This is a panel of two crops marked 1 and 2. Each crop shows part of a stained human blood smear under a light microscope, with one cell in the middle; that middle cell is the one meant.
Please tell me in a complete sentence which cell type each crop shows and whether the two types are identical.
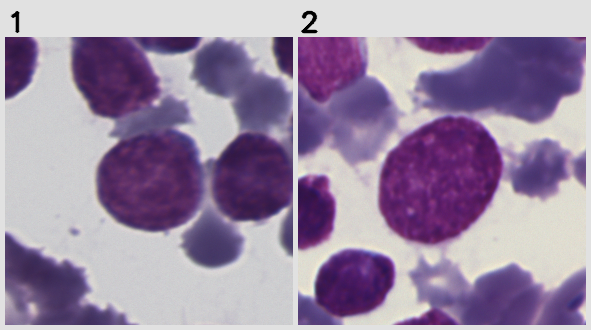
Yes, the reply for both crops is myeloblasts.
